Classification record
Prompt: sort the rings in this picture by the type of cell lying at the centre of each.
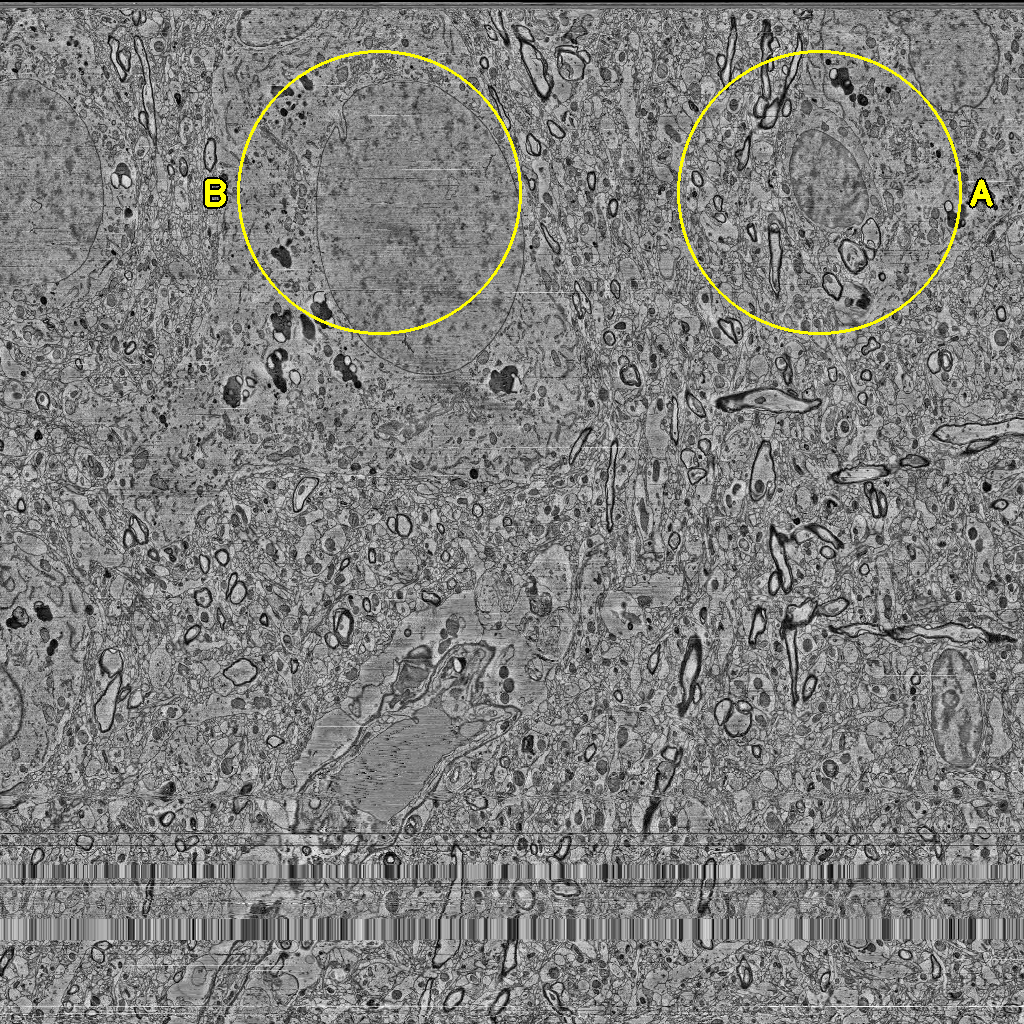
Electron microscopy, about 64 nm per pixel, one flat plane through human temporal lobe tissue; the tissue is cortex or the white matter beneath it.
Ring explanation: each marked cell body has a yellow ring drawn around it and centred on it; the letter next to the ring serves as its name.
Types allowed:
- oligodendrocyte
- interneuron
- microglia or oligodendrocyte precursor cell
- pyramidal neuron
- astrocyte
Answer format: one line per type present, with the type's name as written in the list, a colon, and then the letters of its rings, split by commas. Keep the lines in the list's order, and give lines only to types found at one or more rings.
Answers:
oligodendrocyte: A
pyramidal neuron: B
